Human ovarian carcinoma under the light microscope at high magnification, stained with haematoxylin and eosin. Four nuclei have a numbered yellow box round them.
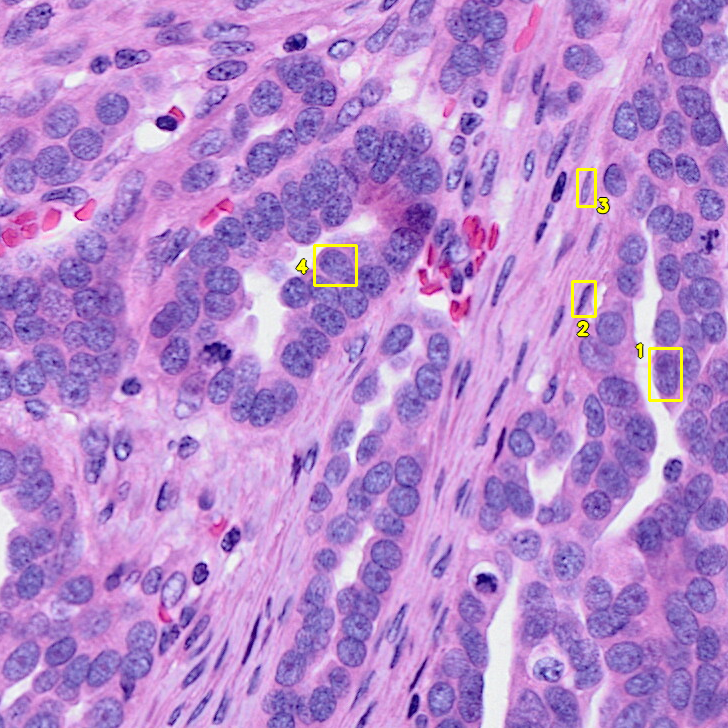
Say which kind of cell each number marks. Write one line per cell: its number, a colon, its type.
1: carcinoma cell
2: fibroblast
3: fibroblast
4: carcinoma cell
